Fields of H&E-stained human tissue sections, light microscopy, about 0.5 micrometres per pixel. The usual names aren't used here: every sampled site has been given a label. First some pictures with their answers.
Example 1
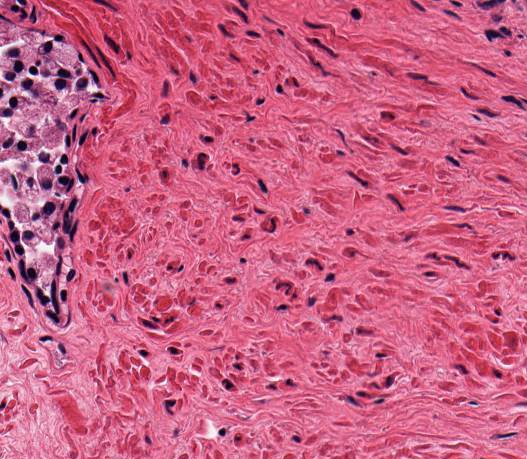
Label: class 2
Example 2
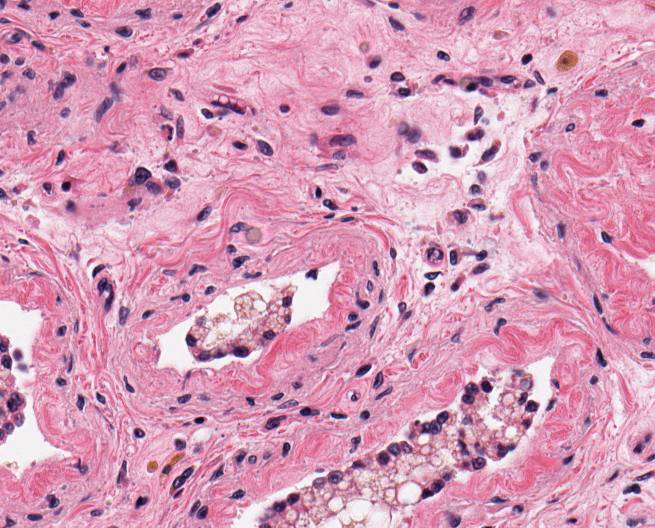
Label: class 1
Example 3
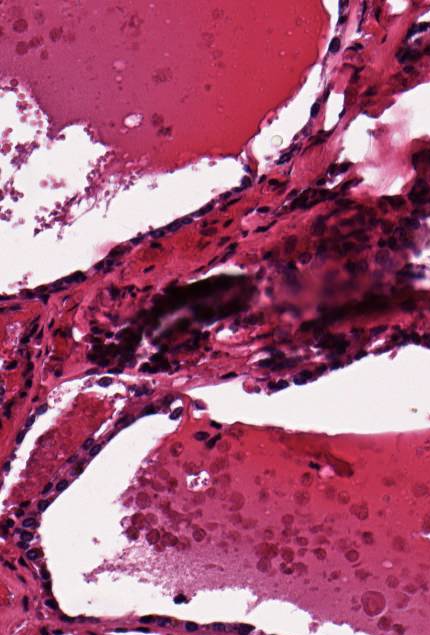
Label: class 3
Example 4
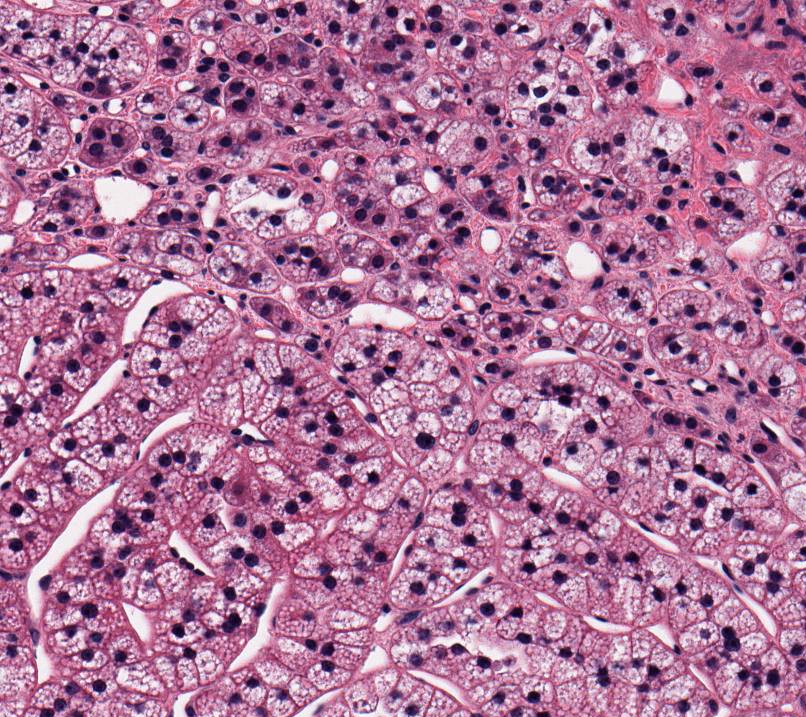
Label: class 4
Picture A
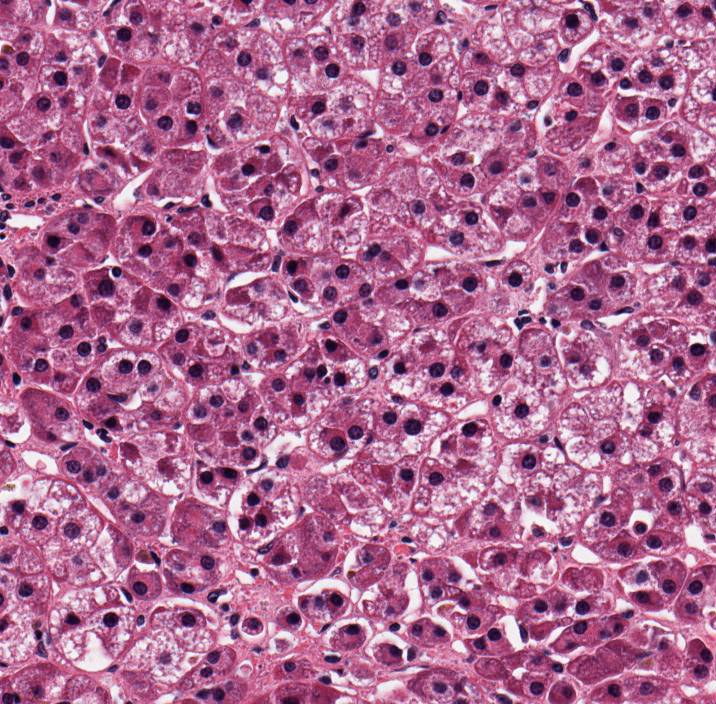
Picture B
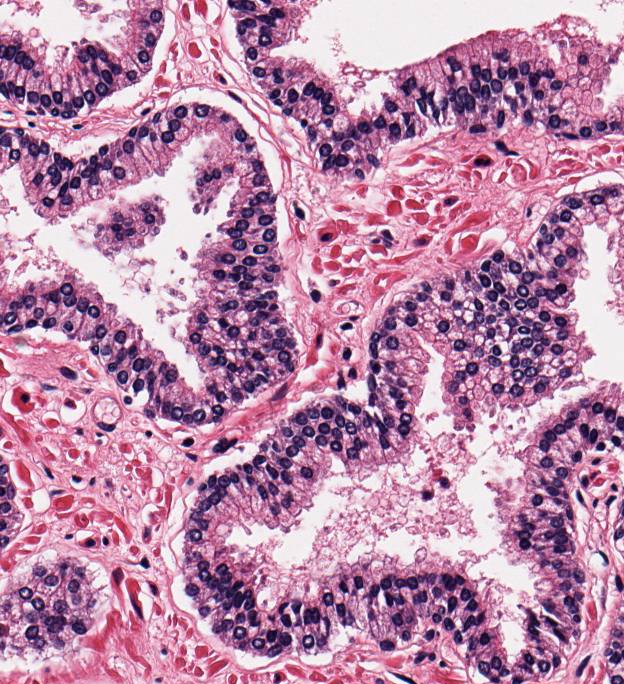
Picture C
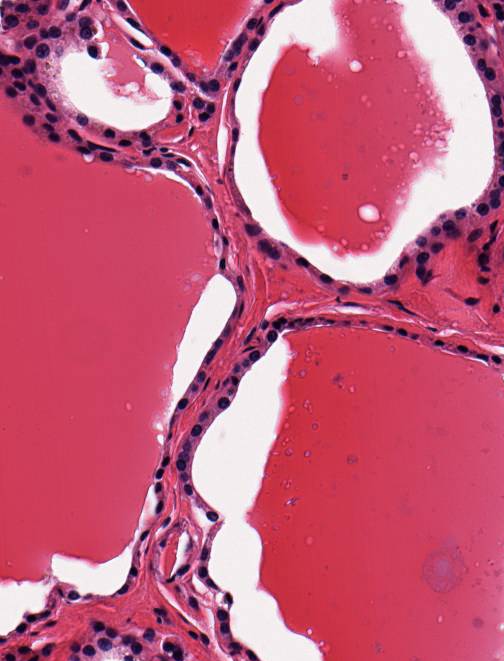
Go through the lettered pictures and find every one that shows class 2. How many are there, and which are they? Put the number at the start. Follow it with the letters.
1: B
